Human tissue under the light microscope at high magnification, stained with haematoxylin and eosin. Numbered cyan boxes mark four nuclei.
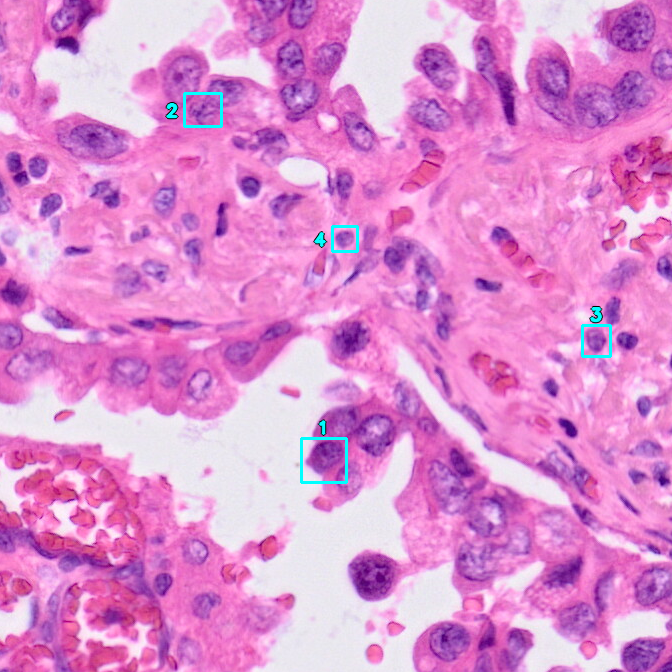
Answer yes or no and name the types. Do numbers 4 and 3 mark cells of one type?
Yes, both cells, 4 and 3, are lymphocytes.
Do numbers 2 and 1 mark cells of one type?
Yes, the two numbered cells, 2 and 1, are both carcinoma cells.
